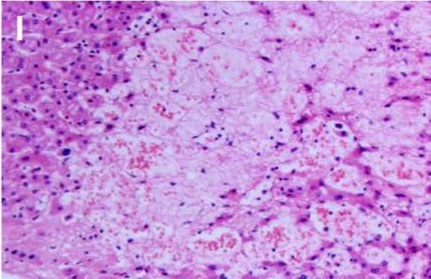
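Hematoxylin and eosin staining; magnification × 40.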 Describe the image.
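This liver tissue shows dilated, widened sinusoids and hemorrhage. Polygonal cells with pink cytoplasm and round dark nuclei lie in denser groups, mostly toward the left edge. Over the middle and right, the tissue opens into pale, loosely textured spaces lined by thin pink strands. Many of these spaces hold clusters of small red-pink blood cells. Scattered small dark nuclei lie along the thin strands between the open spaces, giving the area an irregular, vessel-rich look.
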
